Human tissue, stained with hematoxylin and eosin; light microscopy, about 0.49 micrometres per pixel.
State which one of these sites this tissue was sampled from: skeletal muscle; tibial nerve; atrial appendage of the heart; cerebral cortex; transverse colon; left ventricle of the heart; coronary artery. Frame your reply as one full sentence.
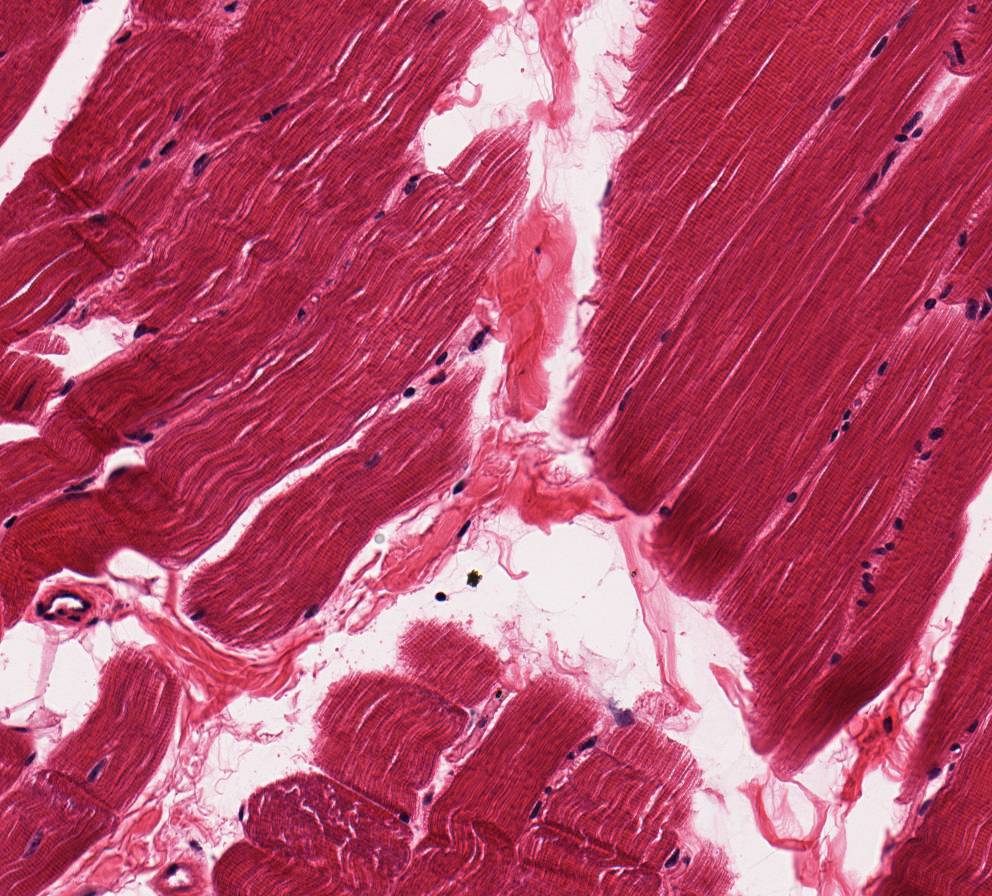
Tissue of the skeletal muscle was sampled to make this section.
